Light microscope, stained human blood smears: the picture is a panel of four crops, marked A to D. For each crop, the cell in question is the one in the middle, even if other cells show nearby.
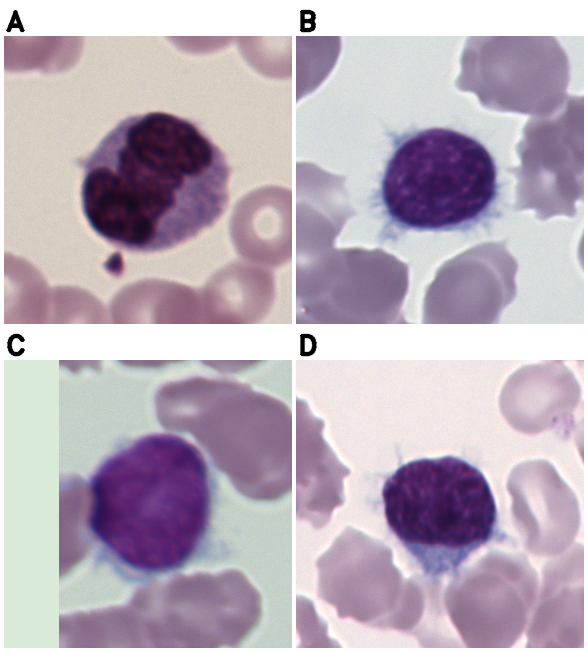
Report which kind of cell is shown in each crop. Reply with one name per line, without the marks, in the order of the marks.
monocyte
hairy cell
hairy cell
hairy cell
